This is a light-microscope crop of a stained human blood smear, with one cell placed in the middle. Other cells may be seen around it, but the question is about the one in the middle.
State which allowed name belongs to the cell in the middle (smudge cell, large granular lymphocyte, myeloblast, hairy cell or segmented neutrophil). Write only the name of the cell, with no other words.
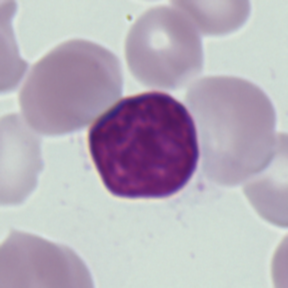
smudge cell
